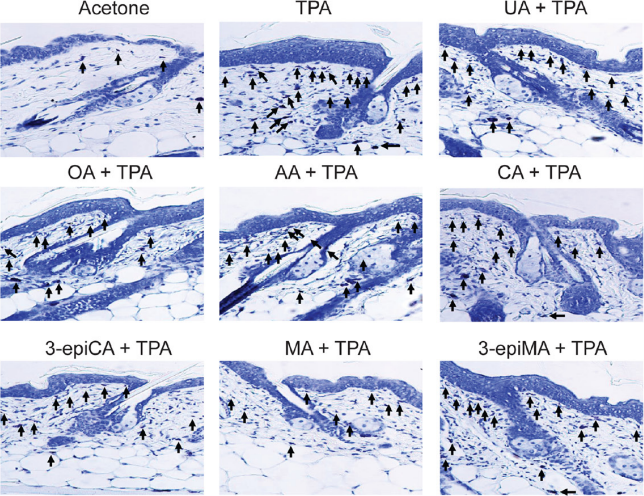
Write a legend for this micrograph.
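Each field shows skin stained in blues: a thin surface epithelium, beneath it a dermis of loose connective tissue with hair follicles and sebaceous glands, and pale rounded fat cells at the bottom. Scattered through the dermis are small, intensely purple-stained cells, fewer in some fields and more crowded in others. These dark cells in the dermal connective tissue are mast cells.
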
